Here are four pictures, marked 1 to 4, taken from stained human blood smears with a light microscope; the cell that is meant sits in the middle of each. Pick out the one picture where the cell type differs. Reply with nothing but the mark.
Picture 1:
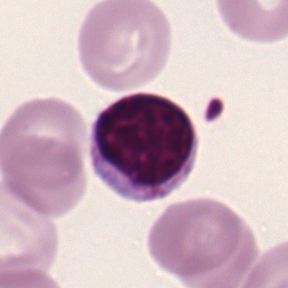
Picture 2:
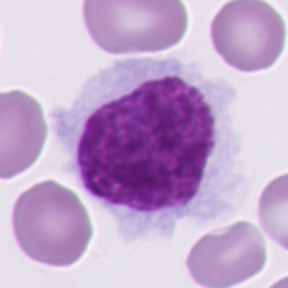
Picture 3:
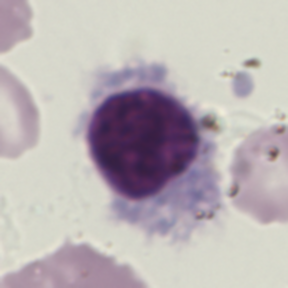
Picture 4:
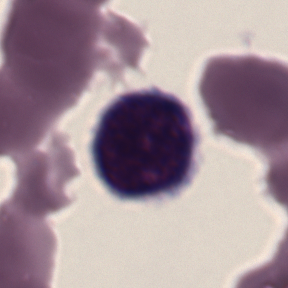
1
